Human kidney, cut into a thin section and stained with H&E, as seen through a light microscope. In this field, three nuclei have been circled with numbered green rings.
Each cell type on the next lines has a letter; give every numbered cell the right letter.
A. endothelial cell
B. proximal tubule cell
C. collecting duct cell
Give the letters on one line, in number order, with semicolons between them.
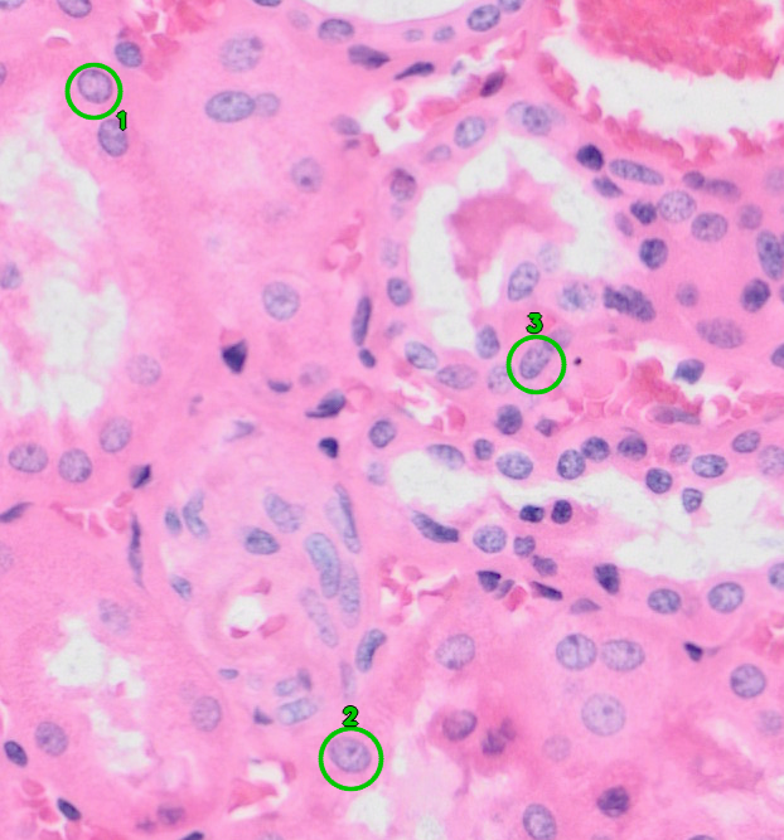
B; B; C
